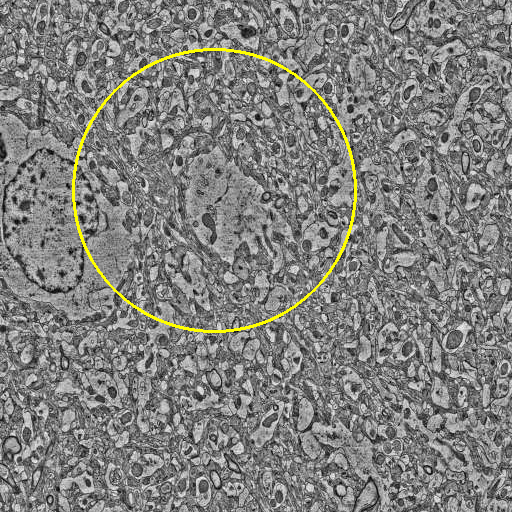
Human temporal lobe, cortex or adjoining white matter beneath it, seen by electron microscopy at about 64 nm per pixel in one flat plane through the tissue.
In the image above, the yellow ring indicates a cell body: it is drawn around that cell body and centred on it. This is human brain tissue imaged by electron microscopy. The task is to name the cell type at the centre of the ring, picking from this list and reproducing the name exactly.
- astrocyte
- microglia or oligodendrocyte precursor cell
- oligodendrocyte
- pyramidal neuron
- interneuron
astrocyte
